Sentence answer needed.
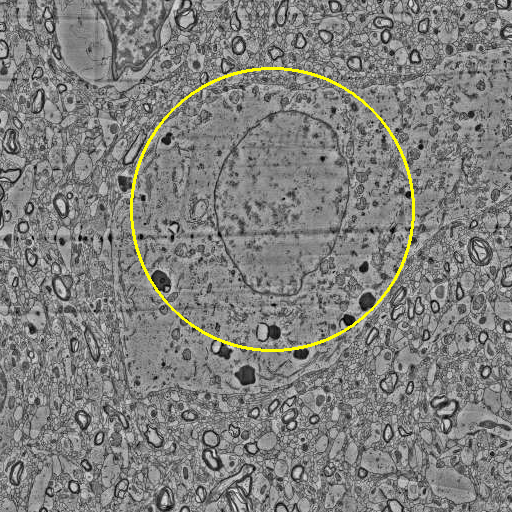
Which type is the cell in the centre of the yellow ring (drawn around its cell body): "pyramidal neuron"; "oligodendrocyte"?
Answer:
In the centre of the yellow ring is a pyramidal neuron.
